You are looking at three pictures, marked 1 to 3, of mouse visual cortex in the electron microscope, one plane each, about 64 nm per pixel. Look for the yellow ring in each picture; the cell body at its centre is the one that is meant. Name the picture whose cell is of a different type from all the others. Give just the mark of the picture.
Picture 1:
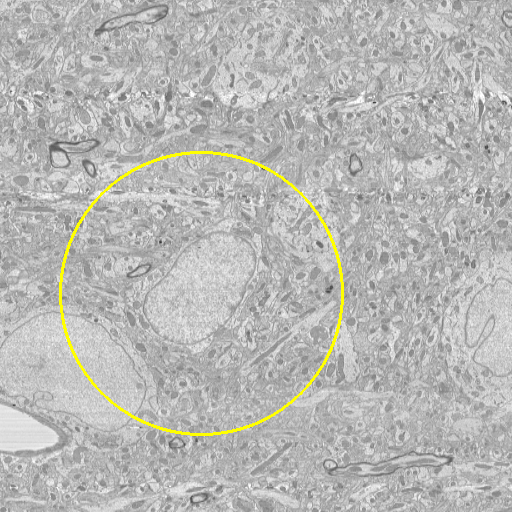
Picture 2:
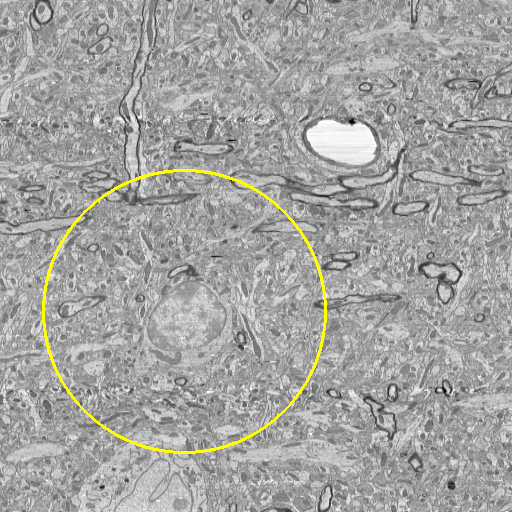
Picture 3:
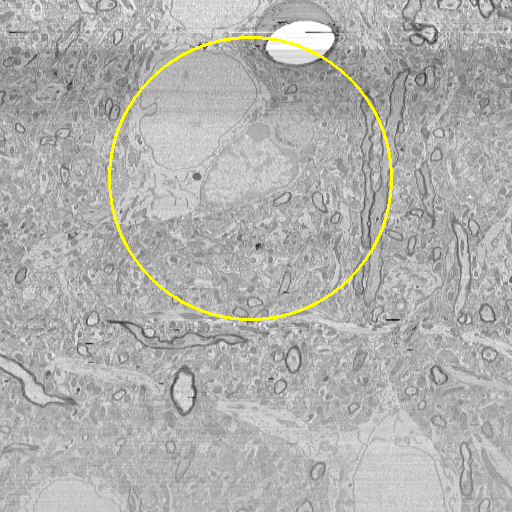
1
